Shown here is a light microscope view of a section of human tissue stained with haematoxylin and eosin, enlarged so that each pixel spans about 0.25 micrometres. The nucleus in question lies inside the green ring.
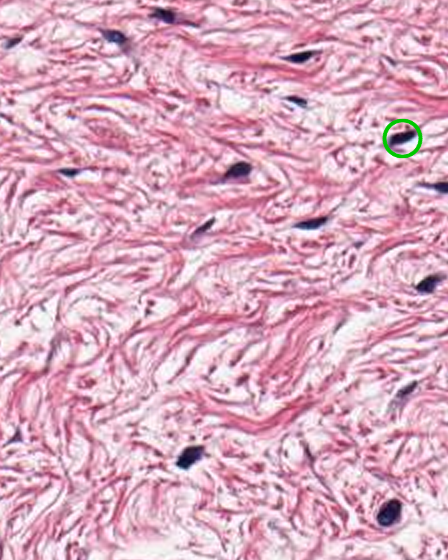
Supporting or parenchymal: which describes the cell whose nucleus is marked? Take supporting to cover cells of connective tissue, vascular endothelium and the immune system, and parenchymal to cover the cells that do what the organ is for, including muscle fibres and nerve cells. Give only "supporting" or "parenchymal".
supporting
